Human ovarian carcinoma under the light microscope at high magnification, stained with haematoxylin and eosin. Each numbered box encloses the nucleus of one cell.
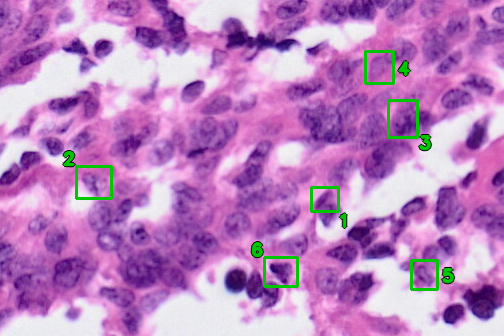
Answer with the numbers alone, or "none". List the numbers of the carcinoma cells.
1, 3, 4, 6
